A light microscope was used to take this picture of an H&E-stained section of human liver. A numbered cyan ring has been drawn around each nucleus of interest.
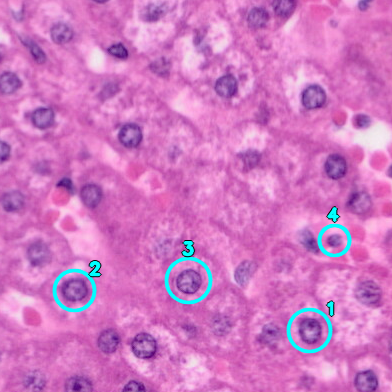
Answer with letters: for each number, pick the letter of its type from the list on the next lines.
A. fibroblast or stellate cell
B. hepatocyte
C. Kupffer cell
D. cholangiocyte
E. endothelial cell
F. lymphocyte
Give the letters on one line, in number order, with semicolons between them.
B; B; B; F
